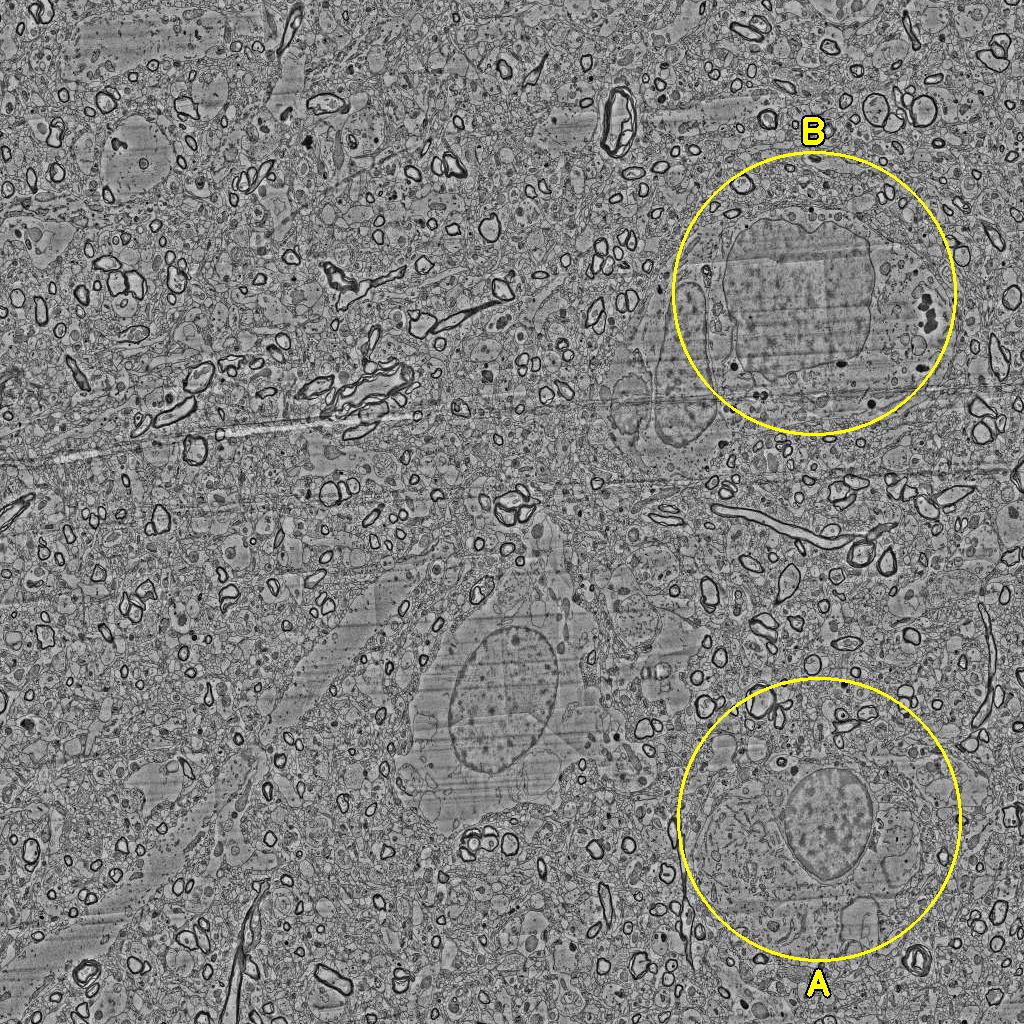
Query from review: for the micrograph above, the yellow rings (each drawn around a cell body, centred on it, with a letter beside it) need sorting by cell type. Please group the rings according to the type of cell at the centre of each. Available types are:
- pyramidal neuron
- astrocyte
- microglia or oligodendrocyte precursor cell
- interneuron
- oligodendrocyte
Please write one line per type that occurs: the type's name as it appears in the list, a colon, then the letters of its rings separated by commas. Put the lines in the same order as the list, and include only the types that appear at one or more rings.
pyramidal neuron: B
oligodendrocyte: A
